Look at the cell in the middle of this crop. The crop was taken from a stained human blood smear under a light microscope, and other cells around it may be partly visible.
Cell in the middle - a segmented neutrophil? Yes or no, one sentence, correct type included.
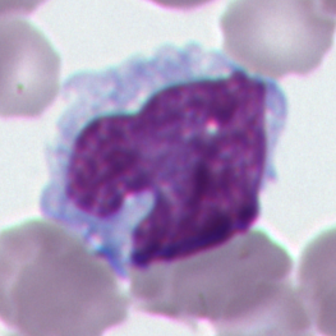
No, the cell of interest here is a monocyte and not a segmented neutrophil.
